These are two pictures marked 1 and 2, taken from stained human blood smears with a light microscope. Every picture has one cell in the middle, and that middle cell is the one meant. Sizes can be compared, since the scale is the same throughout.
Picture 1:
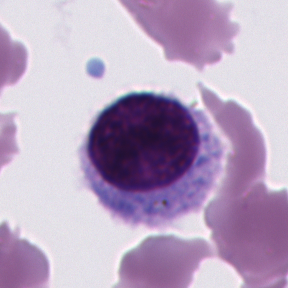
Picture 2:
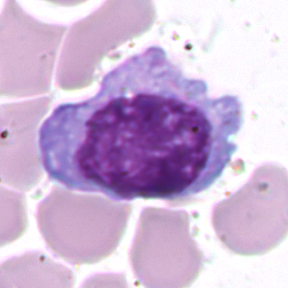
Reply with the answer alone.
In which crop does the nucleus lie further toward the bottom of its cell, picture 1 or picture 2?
2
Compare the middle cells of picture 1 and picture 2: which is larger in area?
2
